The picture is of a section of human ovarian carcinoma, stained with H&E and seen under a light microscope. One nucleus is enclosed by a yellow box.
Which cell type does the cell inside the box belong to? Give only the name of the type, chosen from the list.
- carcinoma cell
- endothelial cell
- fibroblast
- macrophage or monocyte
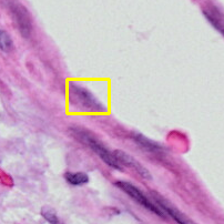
endothelial cell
